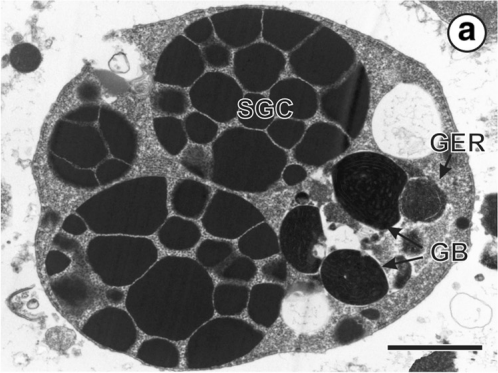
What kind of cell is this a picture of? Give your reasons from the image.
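Vitellocytes. A single oval cell is packed with large clusters of electron-dense globules. Granular cytoplasm surrounds the globule clusters.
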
